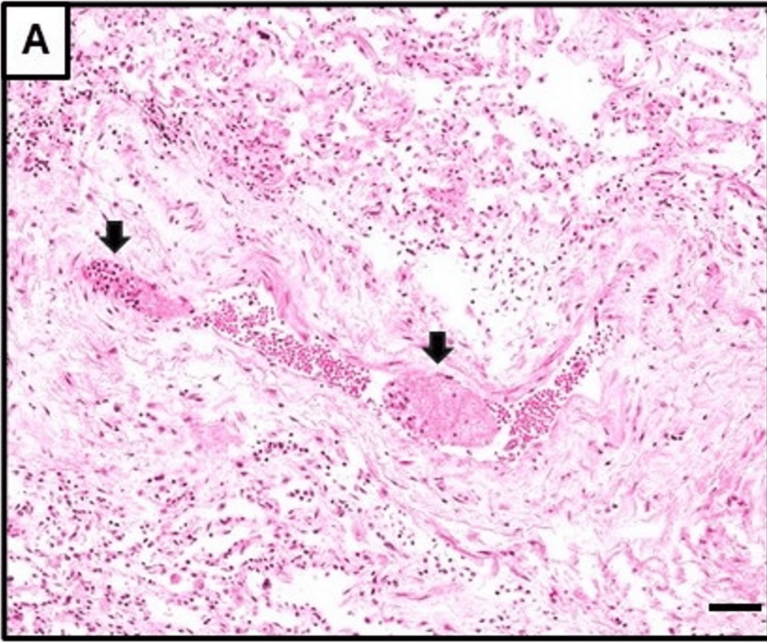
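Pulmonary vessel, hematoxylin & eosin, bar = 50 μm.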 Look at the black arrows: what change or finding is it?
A: Microthrombi.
